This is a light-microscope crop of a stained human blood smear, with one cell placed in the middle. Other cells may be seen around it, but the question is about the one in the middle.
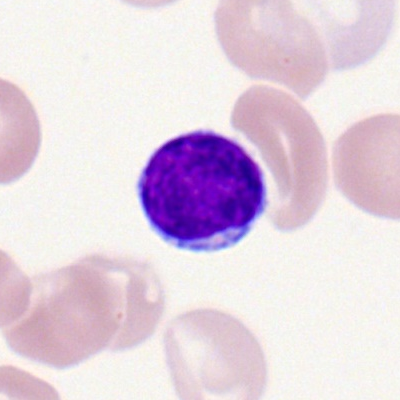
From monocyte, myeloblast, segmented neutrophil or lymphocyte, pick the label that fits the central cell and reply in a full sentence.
The middle position in this crop is taken by a lymphocyte.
